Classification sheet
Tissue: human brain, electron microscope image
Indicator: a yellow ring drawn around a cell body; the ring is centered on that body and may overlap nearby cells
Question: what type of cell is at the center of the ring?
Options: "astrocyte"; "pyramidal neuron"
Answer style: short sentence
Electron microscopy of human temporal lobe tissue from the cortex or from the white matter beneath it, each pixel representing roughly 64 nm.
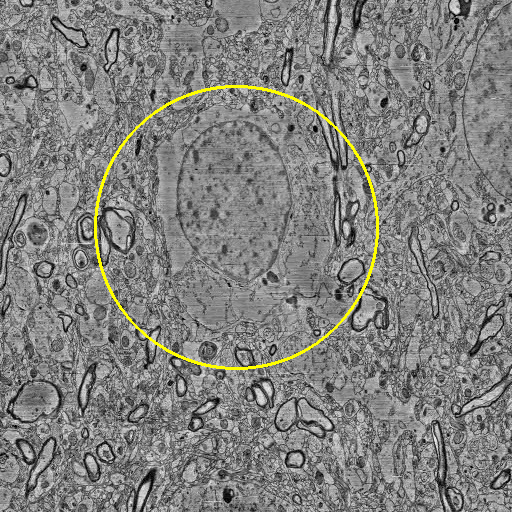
At the ring's center is an astrocyte.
